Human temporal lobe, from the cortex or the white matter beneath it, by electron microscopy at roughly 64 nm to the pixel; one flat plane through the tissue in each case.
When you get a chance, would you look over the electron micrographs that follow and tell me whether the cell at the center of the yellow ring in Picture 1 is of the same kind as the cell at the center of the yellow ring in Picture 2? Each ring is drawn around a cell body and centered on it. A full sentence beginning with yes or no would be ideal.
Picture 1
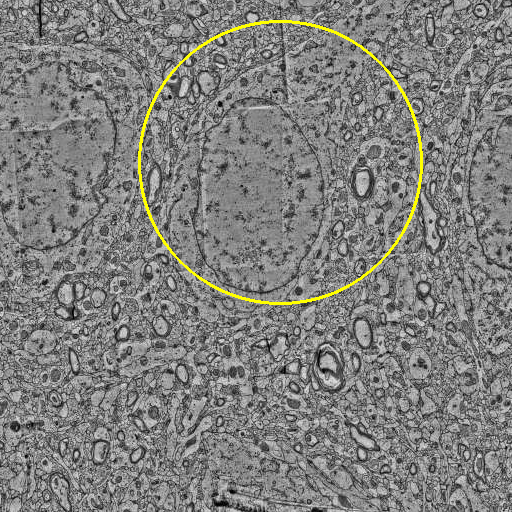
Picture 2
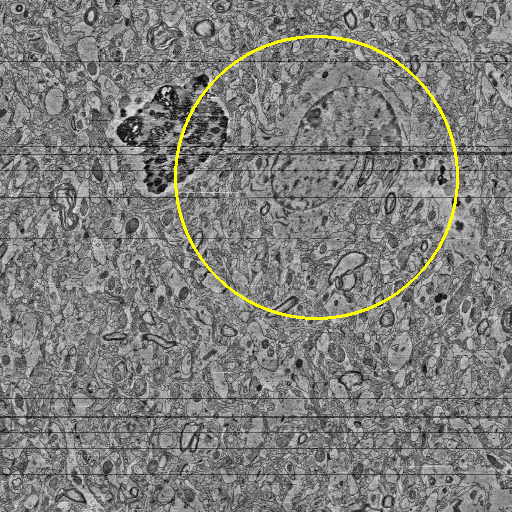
No, they are two kinds of cell.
